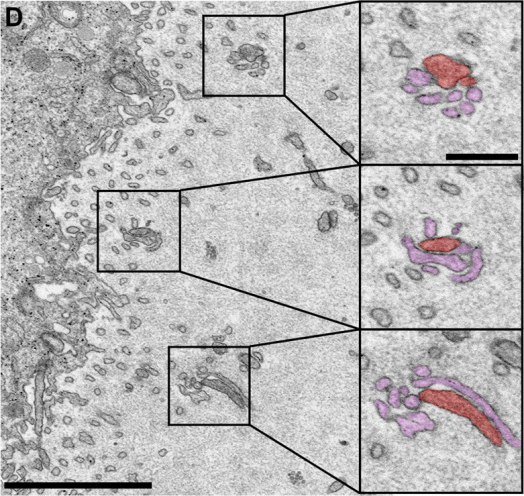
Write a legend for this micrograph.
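This electron micrograph shows an area of the zona pellucida beside the edge of a cell. The pale extracellular band is crowded with many small round and elongated profiles of cut processes. In three places the profiles gather into tight clumps, enclosed by squares and shown enlarged at the side. In each enlargement a larger profile tinted red is surrounded by smaller profiles tinted purple. The cell at the left edge holds granular cytoplasm with membrane-bound organelles.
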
